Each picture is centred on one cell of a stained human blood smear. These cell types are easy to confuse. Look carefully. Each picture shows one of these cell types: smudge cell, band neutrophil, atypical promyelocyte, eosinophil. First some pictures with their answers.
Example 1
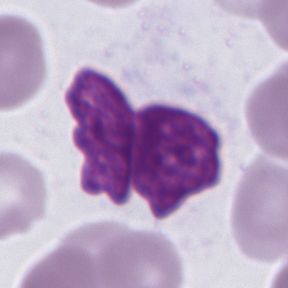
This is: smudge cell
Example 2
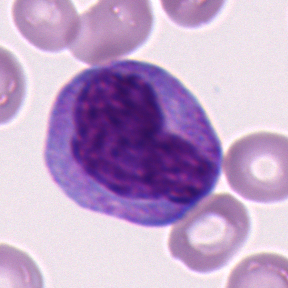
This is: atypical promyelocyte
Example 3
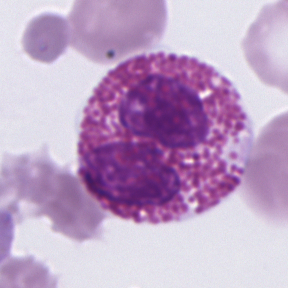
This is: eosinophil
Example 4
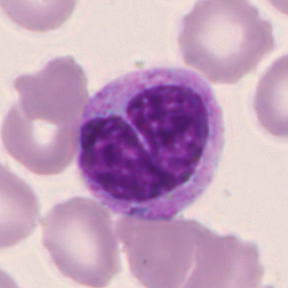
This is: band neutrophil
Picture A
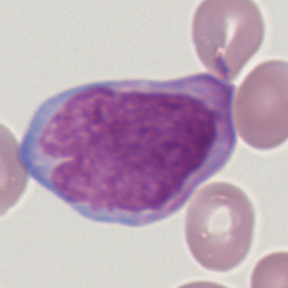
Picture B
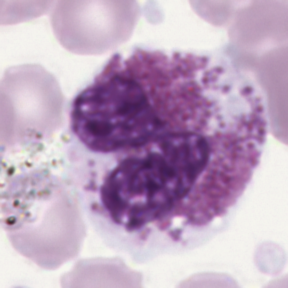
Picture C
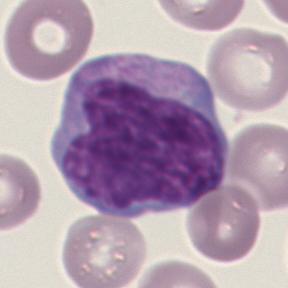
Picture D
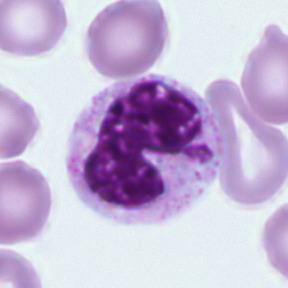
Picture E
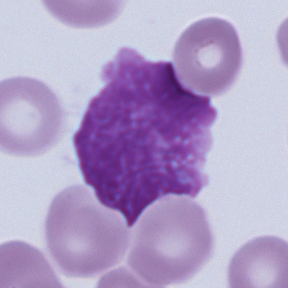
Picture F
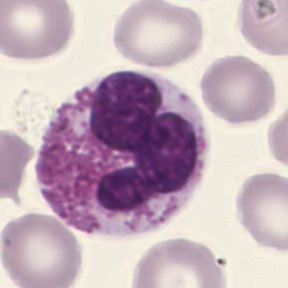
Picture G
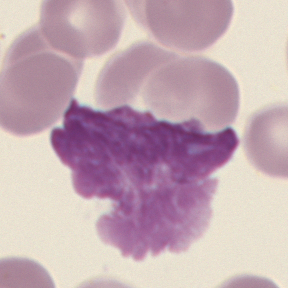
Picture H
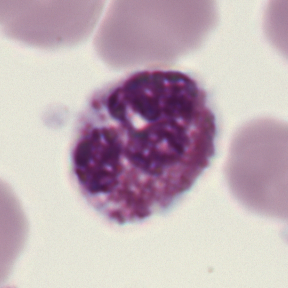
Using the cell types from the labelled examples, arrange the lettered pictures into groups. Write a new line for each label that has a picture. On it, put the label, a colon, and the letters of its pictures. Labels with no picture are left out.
smudge cell: E, G
band neutrophil: D
atypical promyelocyte: A, C
eosinophil: B, F, H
